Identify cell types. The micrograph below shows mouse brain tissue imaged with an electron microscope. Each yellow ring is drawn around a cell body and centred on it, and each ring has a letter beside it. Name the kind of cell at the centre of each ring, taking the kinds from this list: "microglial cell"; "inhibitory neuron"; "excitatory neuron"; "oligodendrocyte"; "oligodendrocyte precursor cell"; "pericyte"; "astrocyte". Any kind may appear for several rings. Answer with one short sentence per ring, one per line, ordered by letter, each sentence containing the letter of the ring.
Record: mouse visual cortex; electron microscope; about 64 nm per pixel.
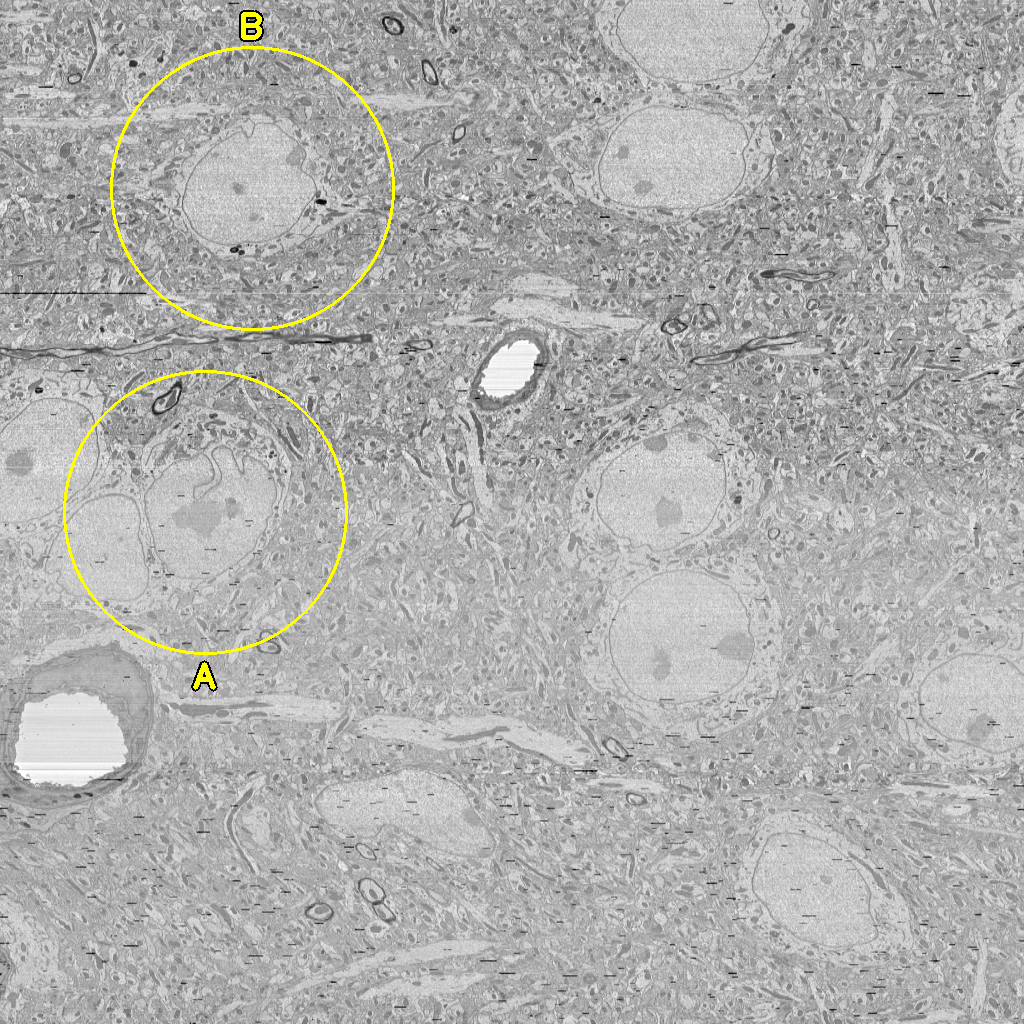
Ring A marks an inhibitory neuron.
Ring B marks an excitatory neuron.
